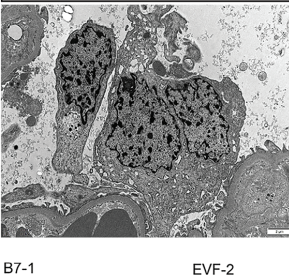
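A glomerular epithelial cell of the kidney is shown by transmission electron microscopy, with two large nuclei lying side by side inside one cell body. Both nuclei are irregular in outline and carry coarse, clumped dark chromatin with paler areas between. Neighbouring cell profiles appear at the edges, with pale space and small particles to the upper right.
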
